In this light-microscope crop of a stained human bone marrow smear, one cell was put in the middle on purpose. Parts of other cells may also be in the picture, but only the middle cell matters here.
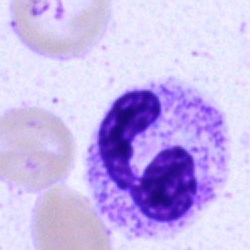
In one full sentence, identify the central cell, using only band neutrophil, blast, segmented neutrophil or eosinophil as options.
In short, the cell at the center is a segmented neutrophil.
